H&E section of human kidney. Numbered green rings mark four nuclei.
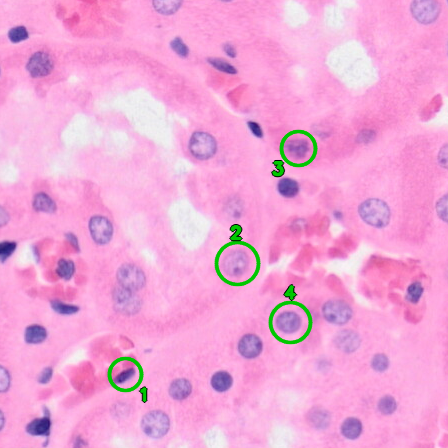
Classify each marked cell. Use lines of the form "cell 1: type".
cell 1: endothelial cell
cell 2: proximal tubule cell
cell 3: proximal tubule cell
cell 4: proximal tubule cell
